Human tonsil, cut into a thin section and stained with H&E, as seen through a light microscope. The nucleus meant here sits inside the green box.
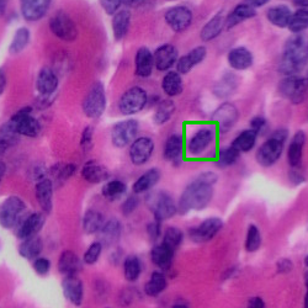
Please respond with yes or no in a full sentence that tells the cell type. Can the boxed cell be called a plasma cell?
No, the boxed cell counts as an endothelial cell rather than as a plasma cell.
